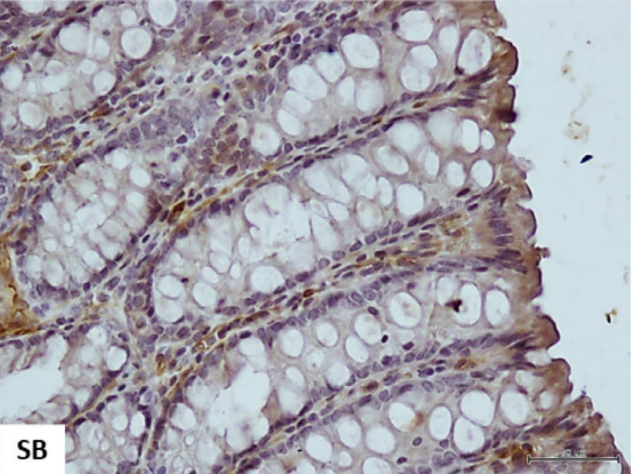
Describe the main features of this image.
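Colonic mucosa with parallel crypts lined by columnar epithelium rich in goblet cells, opening onto a flat luminal surface at the right. The goblet cells are large, round and clear, crowding the crypt walls, with small dark blue nuclei pressed at their bases. The surface epithelium shows a brown rim of moderate intensity, and a lighter brown tint lines the crypts. The lamina propria between the crypts contains elongated and oval nuclei among brown-tinged stromal cells. The crypts are regularly arranged and closely spaced.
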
